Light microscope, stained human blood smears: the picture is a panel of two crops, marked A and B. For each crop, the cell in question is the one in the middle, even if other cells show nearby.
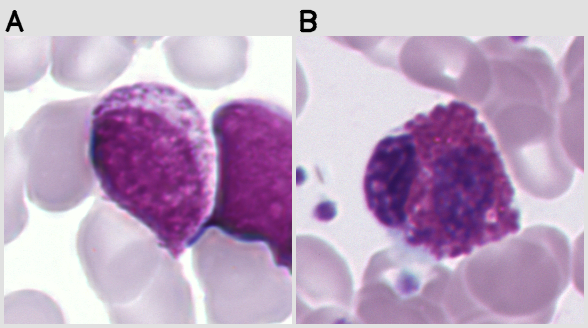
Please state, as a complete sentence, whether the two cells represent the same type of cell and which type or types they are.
No, crop A is the one with a myelocyte; crop B has an eosinophil.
